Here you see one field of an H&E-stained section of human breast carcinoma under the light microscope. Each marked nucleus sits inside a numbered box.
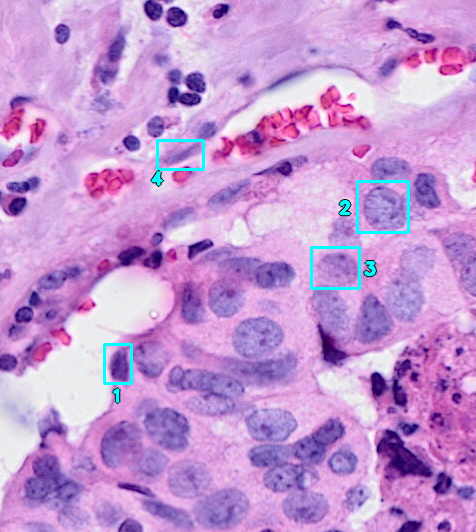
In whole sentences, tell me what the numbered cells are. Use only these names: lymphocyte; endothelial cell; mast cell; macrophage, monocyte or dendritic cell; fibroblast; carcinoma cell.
Cell 1 is a carcinoma cell, cell 2 is a carcinoma cell, cell 3 is a carcinoma cell and cell 4 is an endothelial cell.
